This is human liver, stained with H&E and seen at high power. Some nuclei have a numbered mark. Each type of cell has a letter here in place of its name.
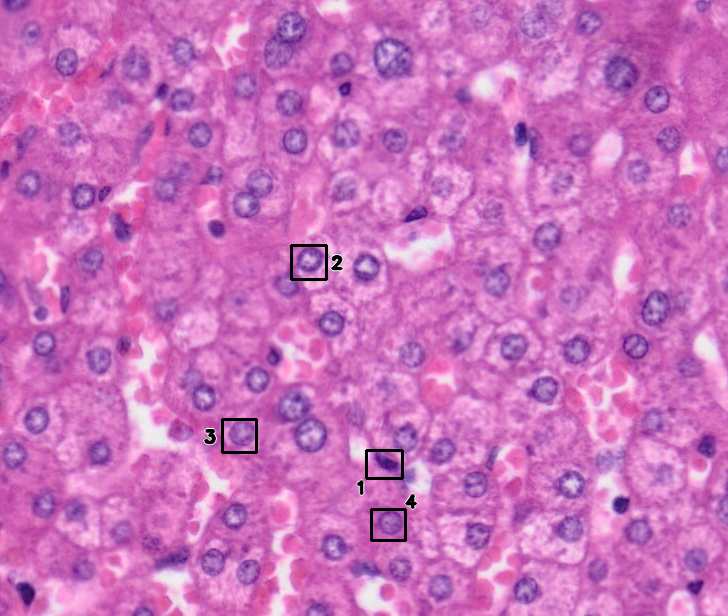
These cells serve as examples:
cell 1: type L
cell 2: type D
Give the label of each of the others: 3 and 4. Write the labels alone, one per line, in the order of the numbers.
type D
type D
